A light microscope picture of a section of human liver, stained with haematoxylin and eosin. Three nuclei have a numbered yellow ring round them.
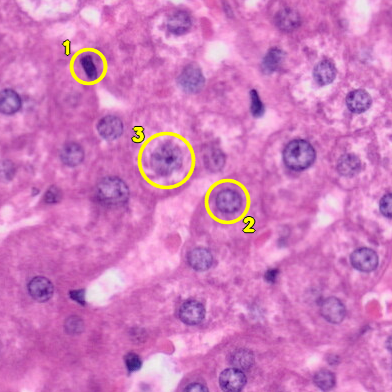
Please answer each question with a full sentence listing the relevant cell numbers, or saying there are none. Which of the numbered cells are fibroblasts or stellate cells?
Only nucleus 1 belongs to a fibroblast or stellate cell; the other numbered nuclei do not.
